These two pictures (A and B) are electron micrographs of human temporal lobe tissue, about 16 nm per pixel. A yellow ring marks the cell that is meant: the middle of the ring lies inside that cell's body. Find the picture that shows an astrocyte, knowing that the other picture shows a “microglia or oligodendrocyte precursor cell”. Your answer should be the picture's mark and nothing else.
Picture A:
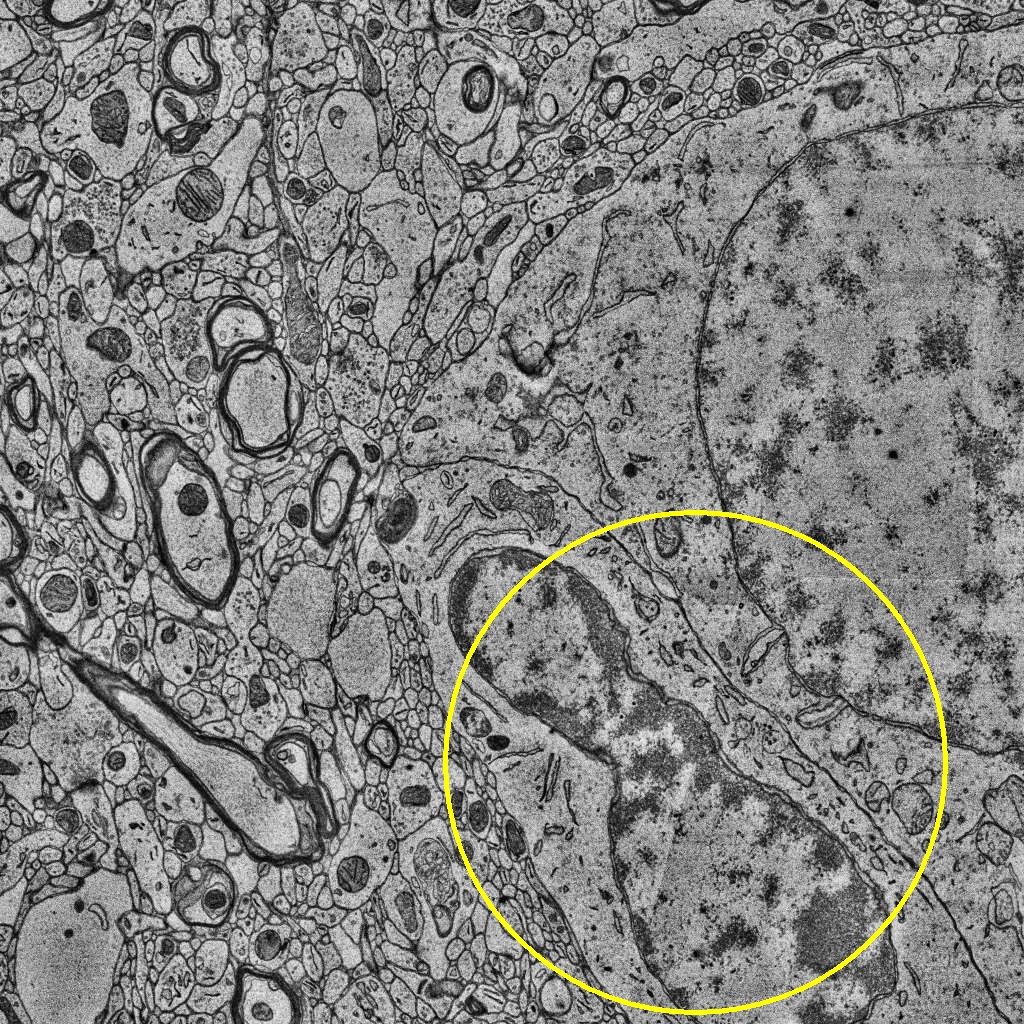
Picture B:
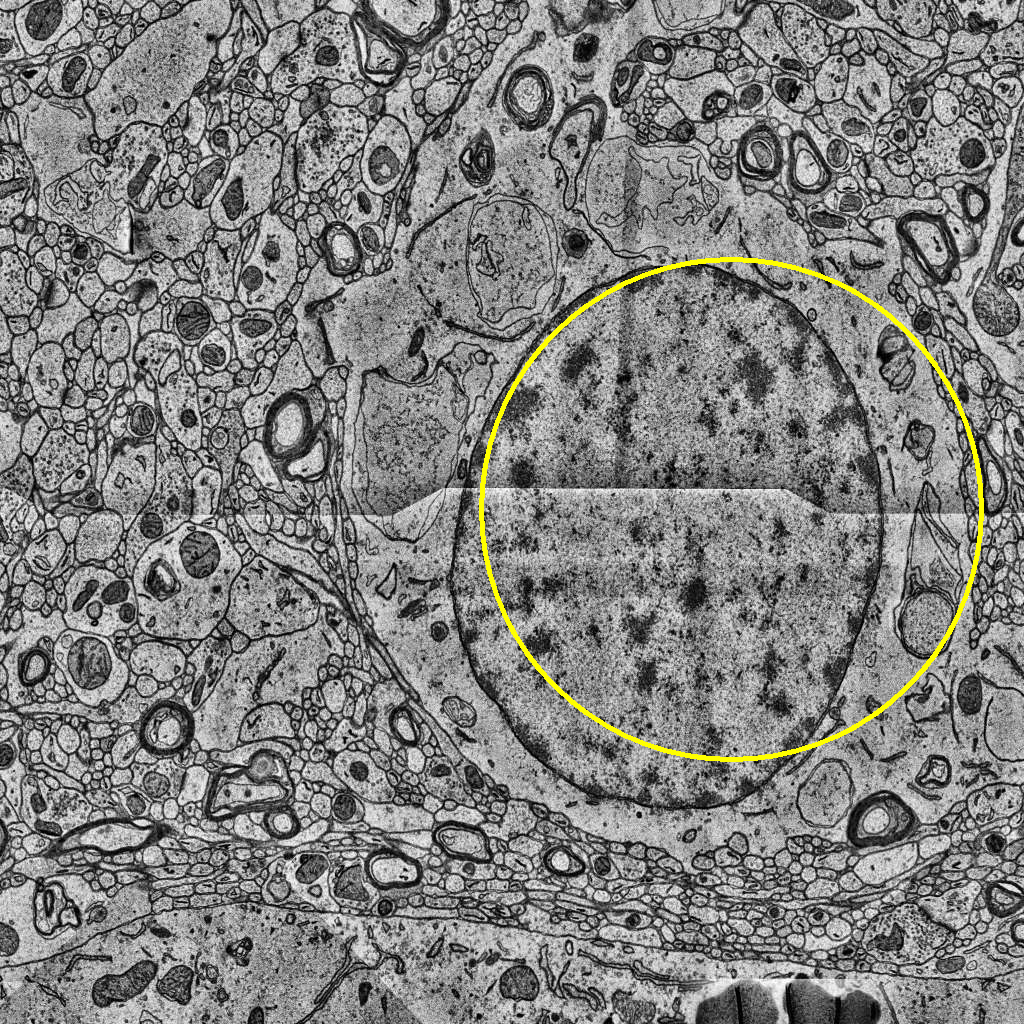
B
